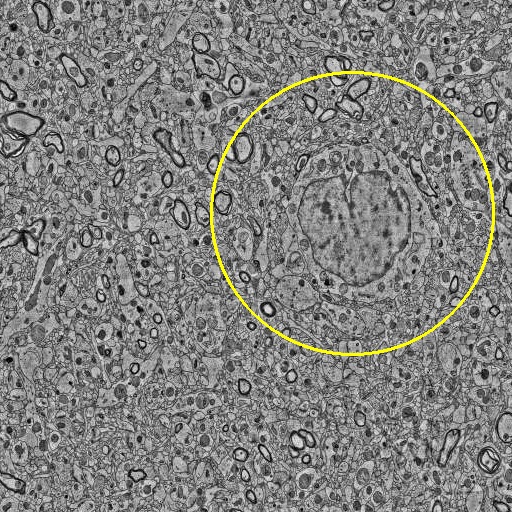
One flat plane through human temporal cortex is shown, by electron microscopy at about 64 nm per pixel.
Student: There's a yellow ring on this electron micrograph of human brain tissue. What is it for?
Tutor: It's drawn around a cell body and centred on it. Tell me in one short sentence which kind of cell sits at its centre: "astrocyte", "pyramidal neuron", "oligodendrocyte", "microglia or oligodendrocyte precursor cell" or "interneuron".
The cell at the centre of the ring is an interneuron.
